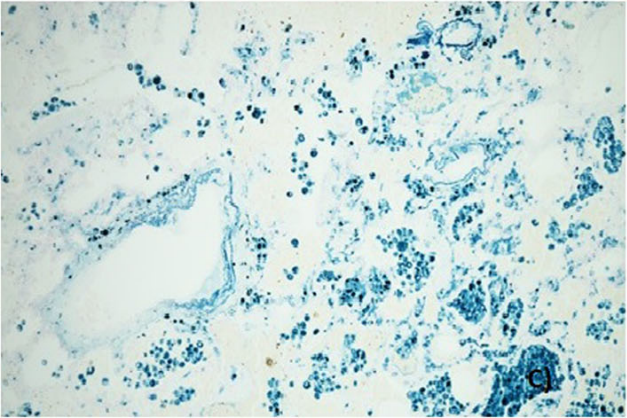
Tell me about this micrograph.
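Lung tissue in which many rounded macrophages in the airspaces carry dark blue granular pigment in their cytoplasm, scattered singly and in dense clusters. Around small vessel lumens, thin wavy fibres in the walls are also stained blue, against a pale background.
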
